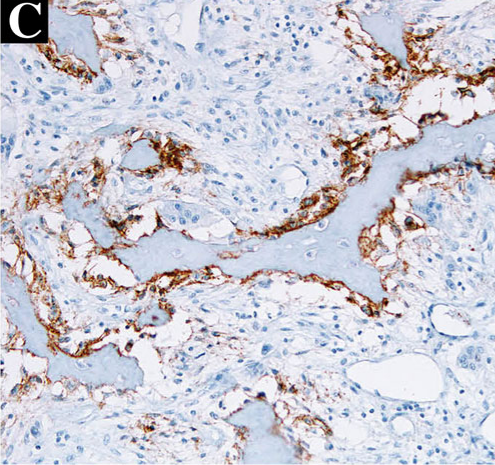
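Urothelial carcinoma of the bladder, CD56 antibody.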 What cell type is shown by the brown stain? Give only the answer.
Osteoblasts.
